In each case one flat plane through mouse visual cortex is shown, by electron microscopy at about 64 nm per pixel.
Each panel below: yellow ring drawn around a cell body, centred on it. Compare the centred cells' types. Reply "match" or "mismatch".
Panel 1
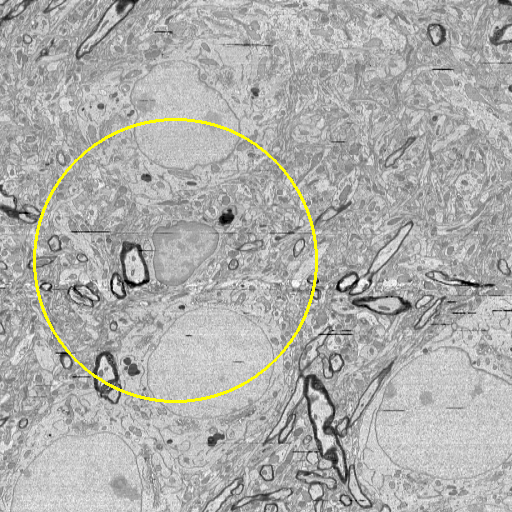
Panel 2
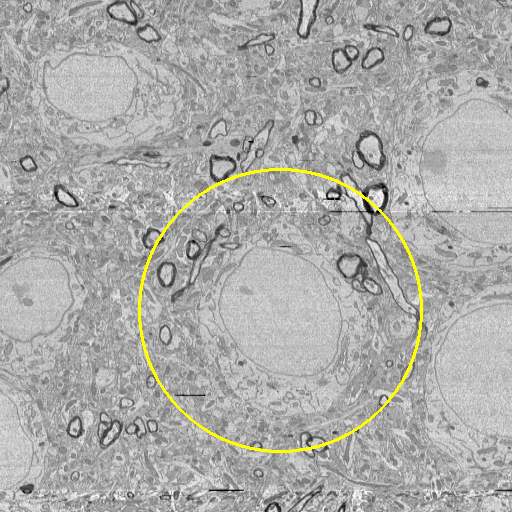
mismatch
